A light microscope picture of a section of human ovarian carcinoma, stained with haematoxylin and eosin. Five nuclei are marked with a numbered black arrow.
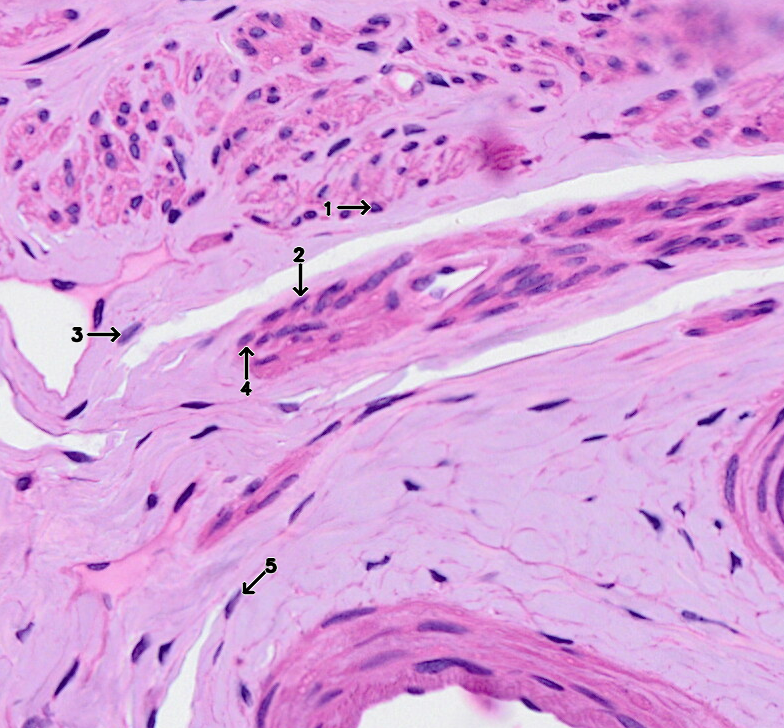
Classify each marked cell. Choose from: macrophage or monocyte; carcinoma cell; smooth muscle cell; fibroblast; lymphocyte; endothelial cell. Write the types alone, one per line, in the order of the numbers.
smooth muscle cell
smooth muscle cell
fibroblast
smooth muscle cell
fibroblast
